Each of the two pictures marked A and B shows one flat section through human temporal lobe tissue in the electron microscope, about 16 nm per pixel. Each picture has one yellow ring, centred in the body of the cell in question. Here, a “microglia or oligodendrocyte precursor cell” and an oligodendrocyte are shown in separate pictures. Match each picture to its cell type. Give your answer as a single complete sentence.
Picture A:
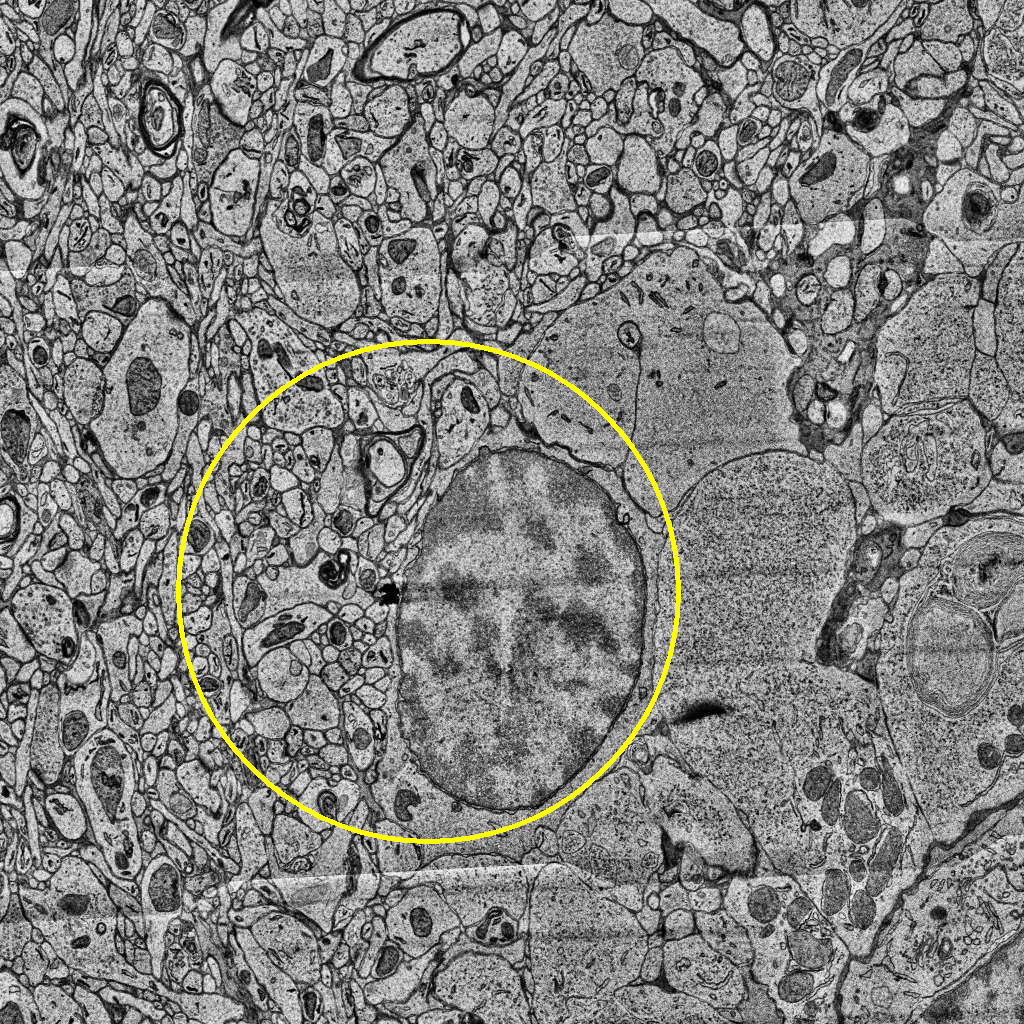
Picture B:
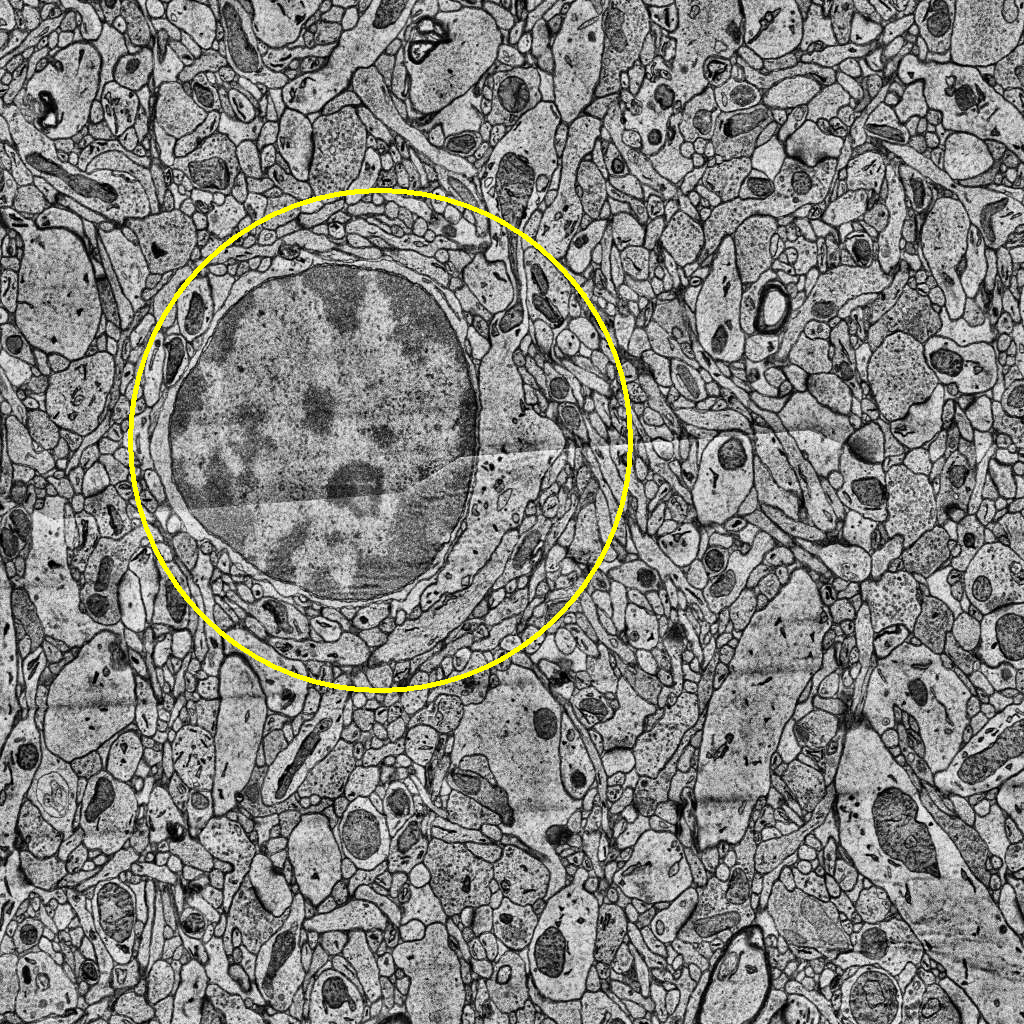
Picture A shows an oligodendrocyte and picture B shows a “microglia or oligodendrocyte precursor cell”.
